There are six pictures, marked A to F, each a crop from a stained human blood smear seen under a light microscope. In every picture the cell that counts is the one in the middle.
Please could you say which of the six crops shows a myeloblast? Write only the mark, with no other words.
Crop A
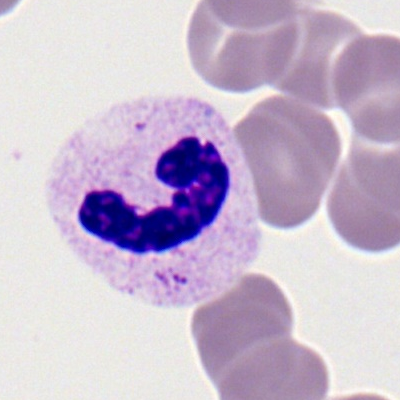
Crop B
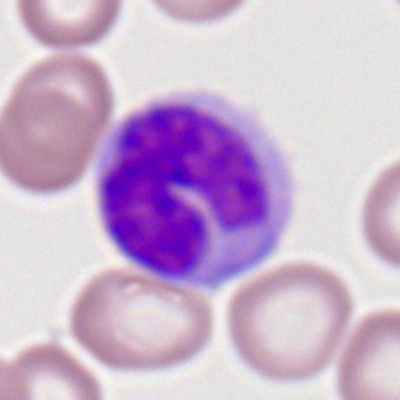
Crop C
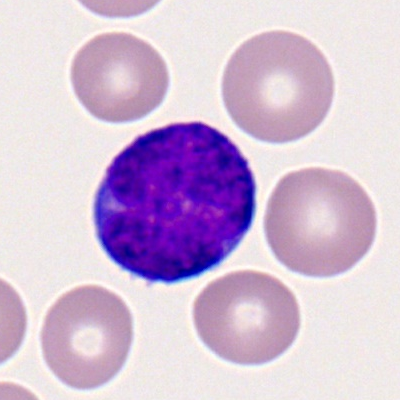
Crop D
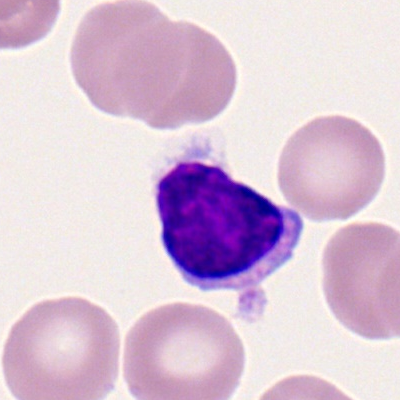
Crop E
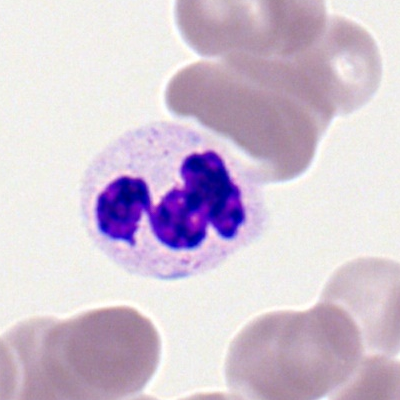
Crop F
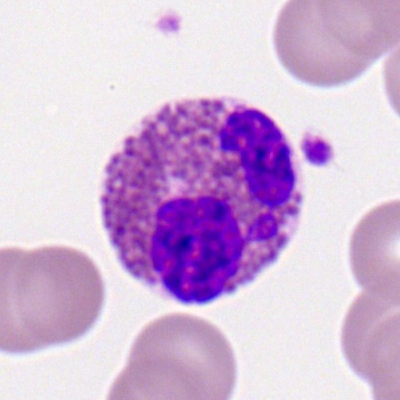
C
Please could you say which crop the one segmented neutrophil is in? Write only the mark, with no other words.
E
